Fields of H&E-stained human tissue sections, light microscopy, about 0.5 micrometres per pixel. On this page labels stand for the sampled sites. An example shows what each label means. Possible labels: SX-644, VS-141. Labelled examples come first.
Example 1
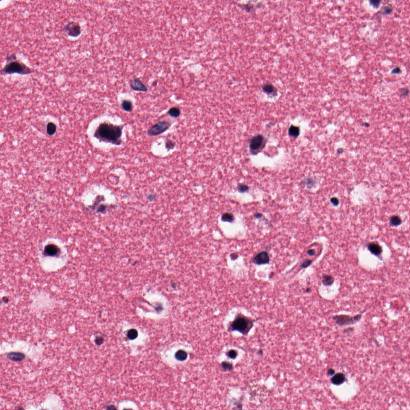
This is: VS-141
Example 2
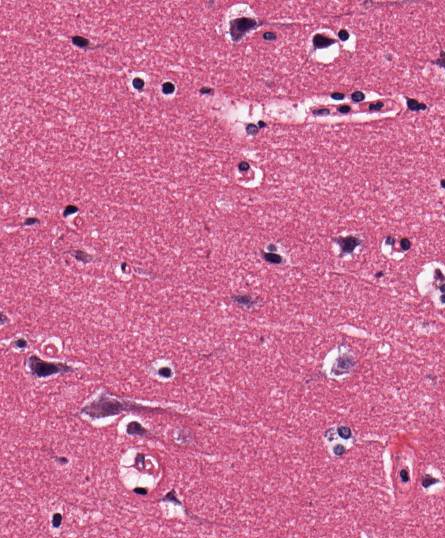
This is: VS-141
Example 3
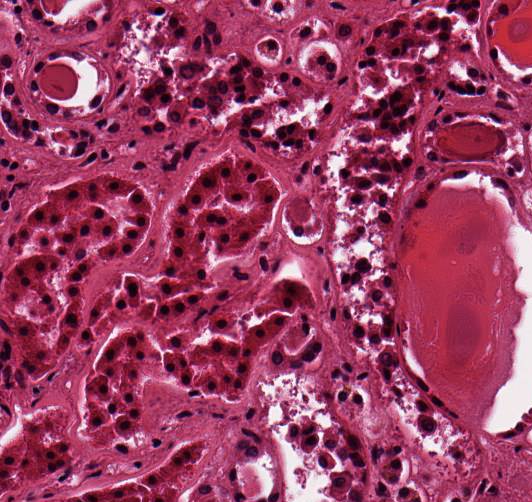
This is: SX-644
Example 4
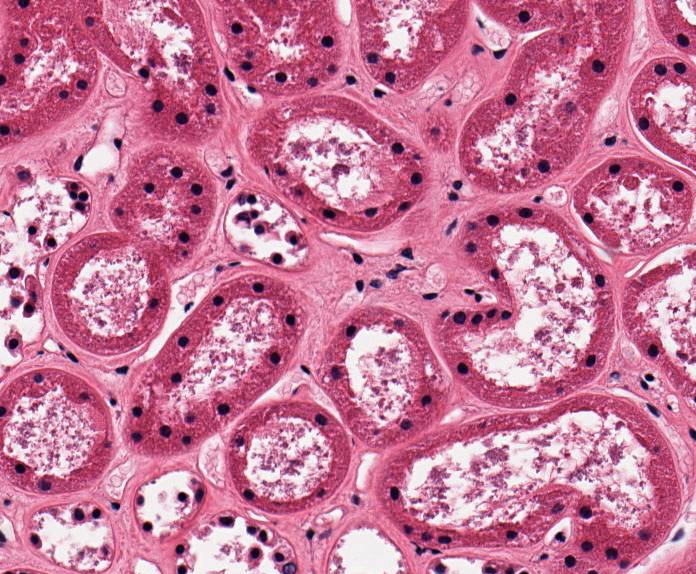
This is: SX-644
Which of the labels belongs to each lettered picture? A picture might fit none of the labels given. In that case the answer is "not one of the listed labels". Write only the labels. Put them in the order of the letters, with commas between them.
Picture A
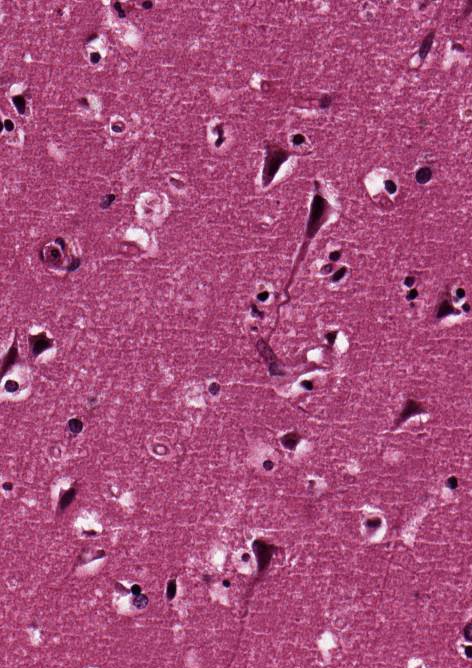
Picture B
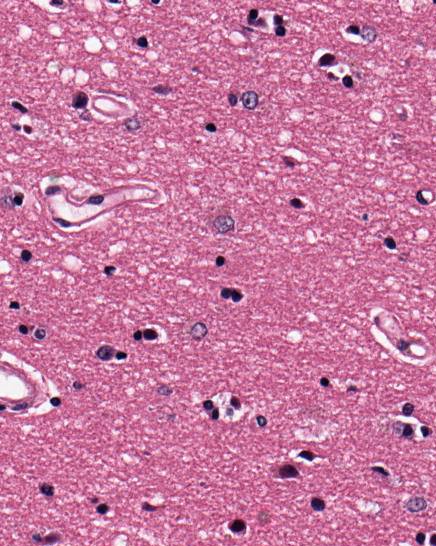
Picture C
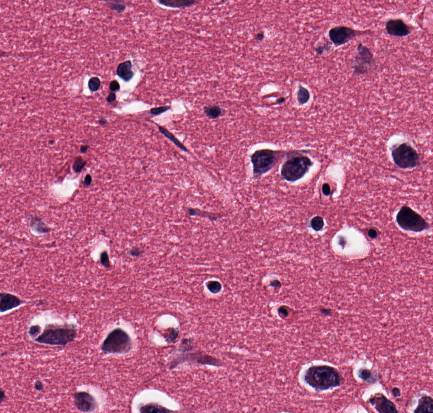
VS-141, VS-141, VS-141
